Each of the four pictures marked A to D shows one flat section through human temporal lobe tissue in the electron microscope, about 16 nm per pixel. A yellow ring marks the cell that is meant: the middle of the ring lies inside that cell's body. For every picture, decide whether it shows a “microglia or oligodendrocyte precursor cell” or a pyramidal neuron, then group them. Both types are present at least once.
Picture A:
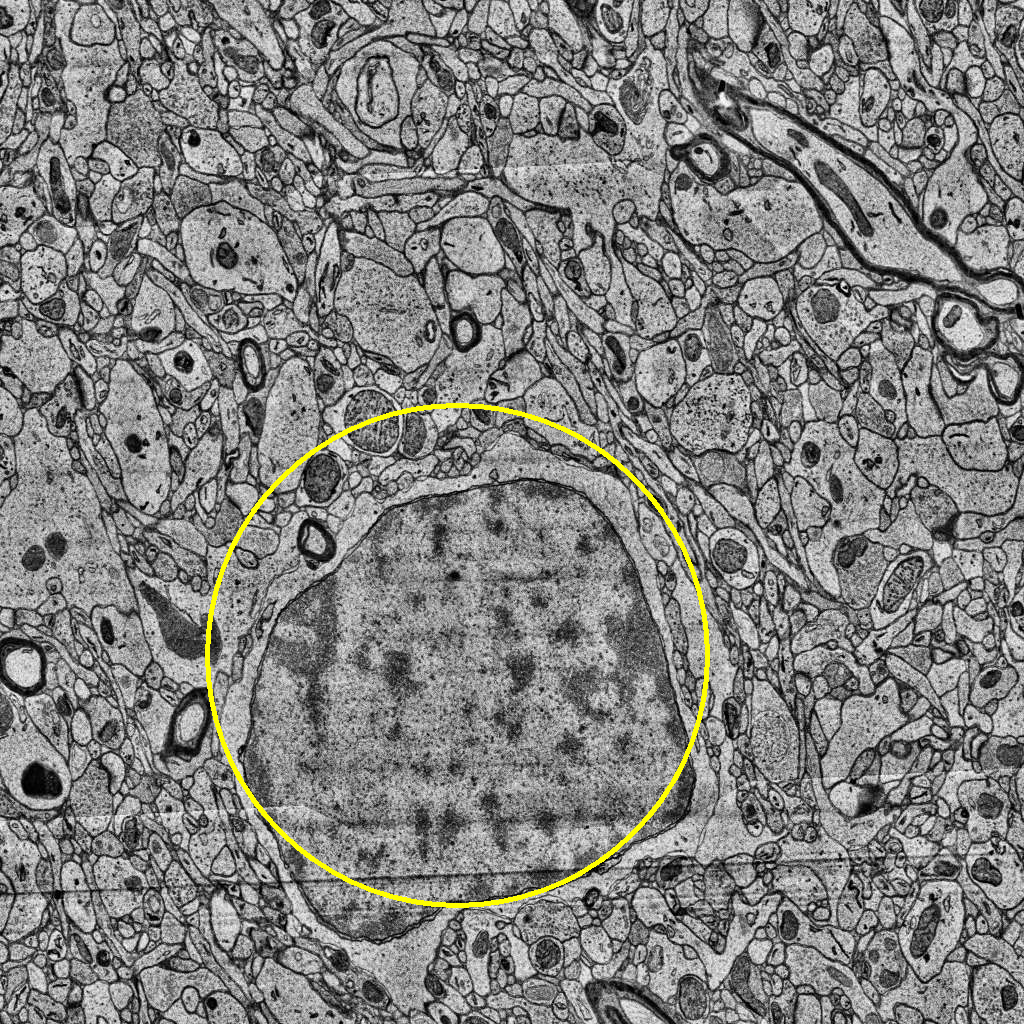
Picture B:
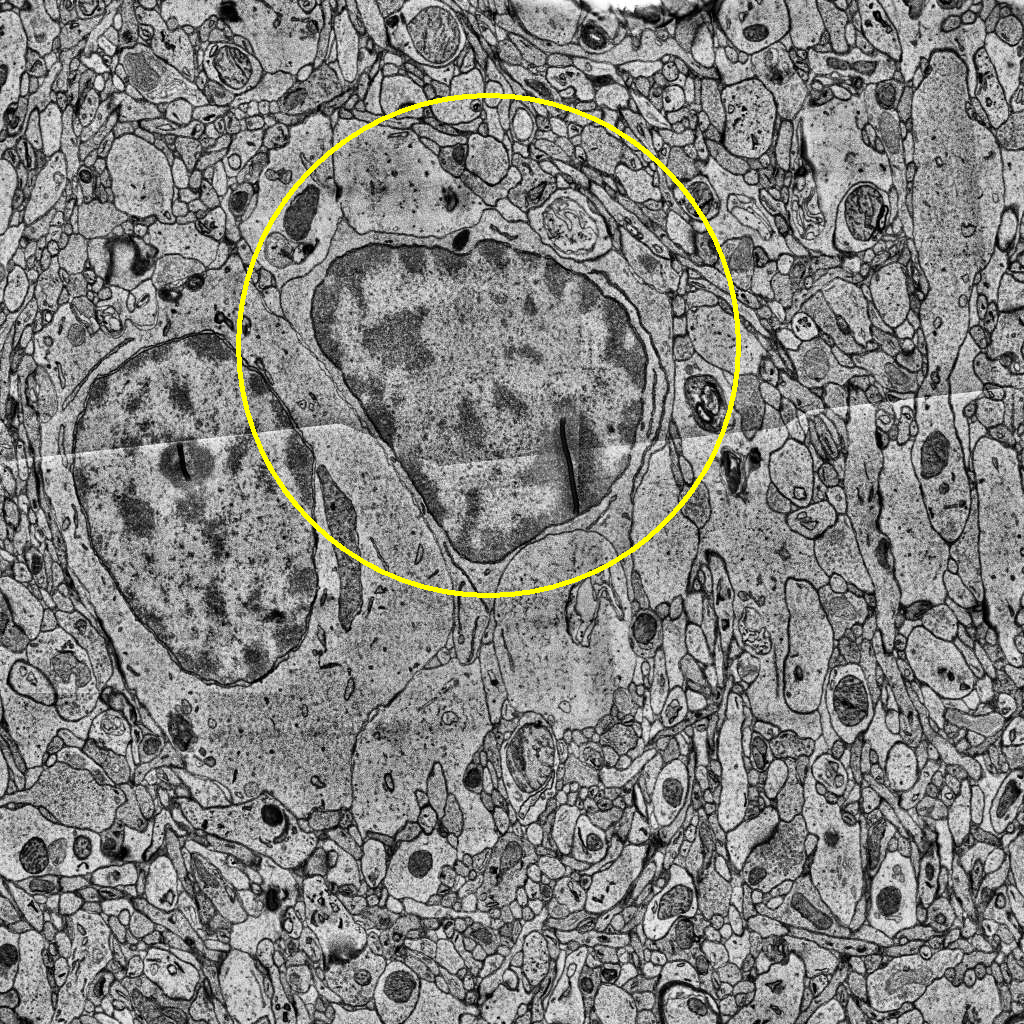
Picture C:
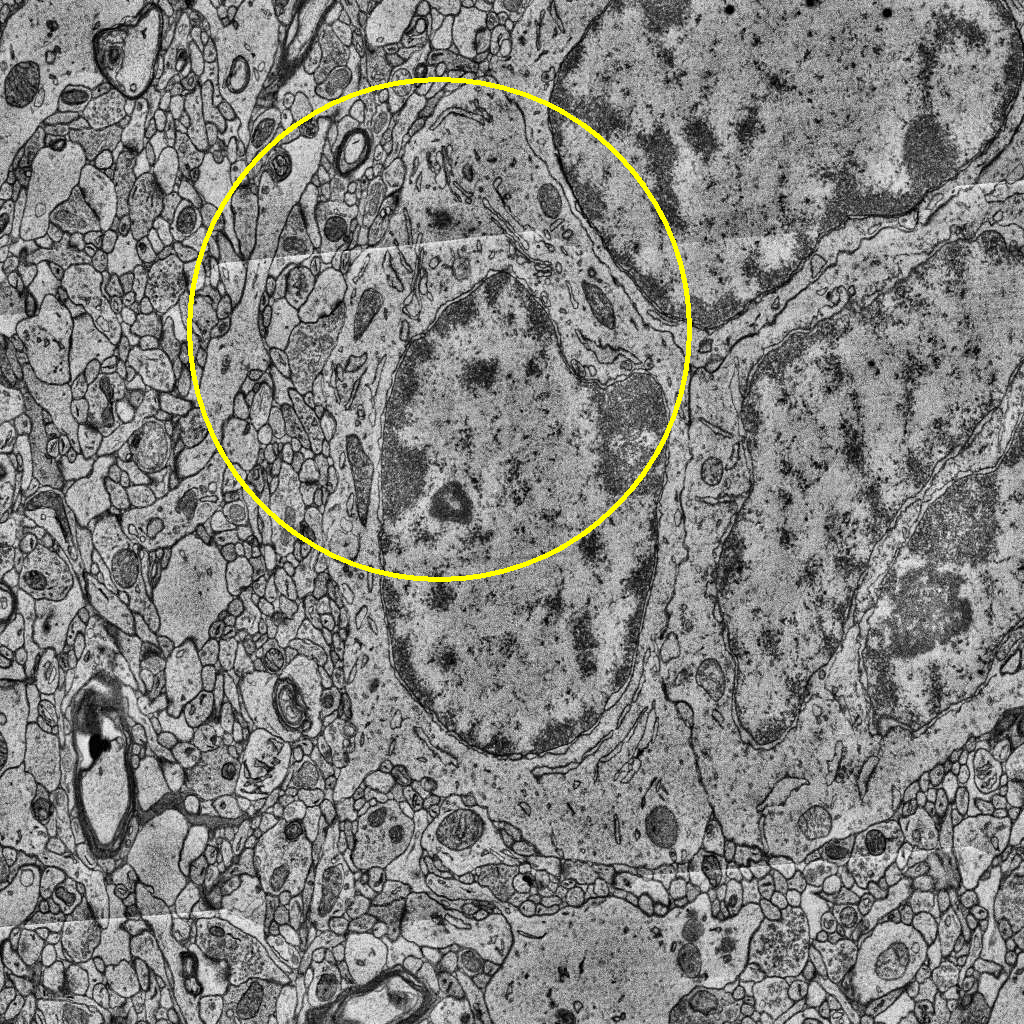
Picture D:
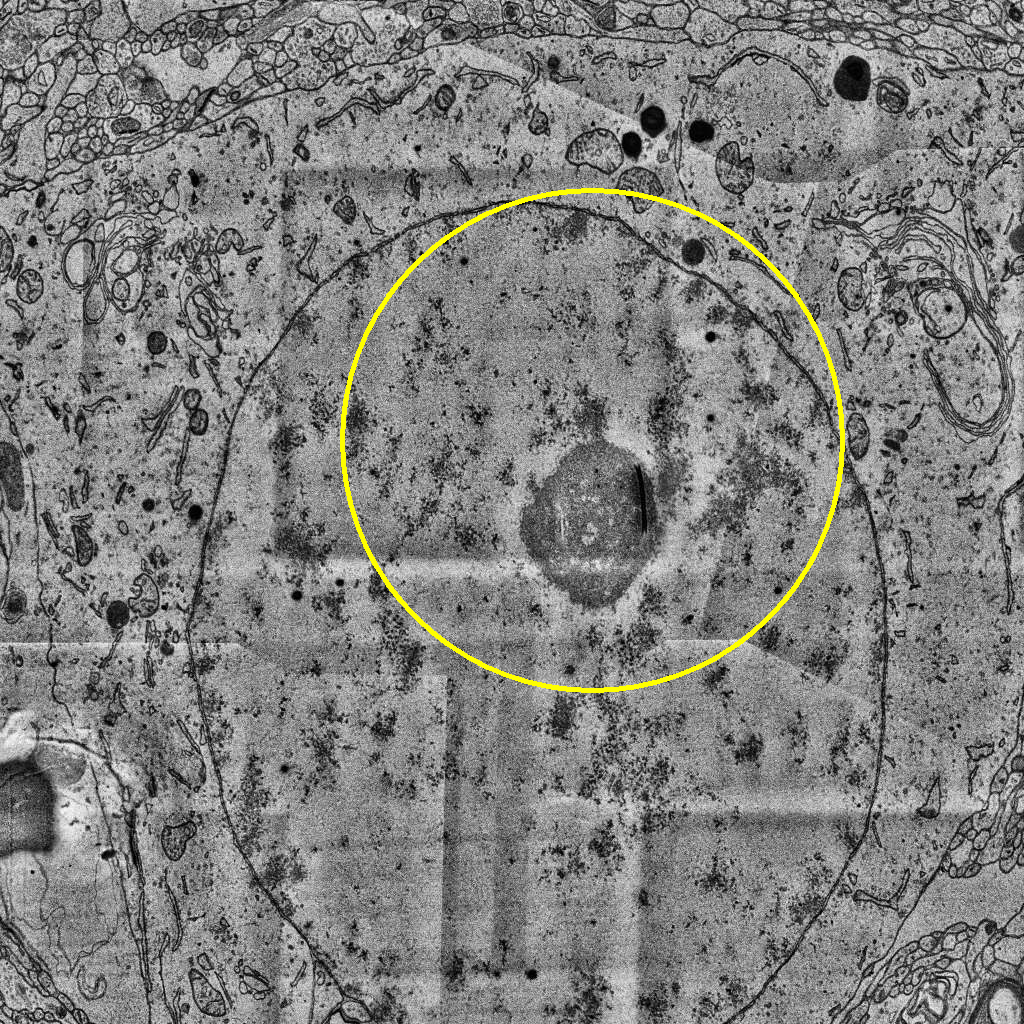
Pictures A, B and C show “microglia or oligodendrocyte precursor cells”, while picture D shows a pyramidal neuron.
